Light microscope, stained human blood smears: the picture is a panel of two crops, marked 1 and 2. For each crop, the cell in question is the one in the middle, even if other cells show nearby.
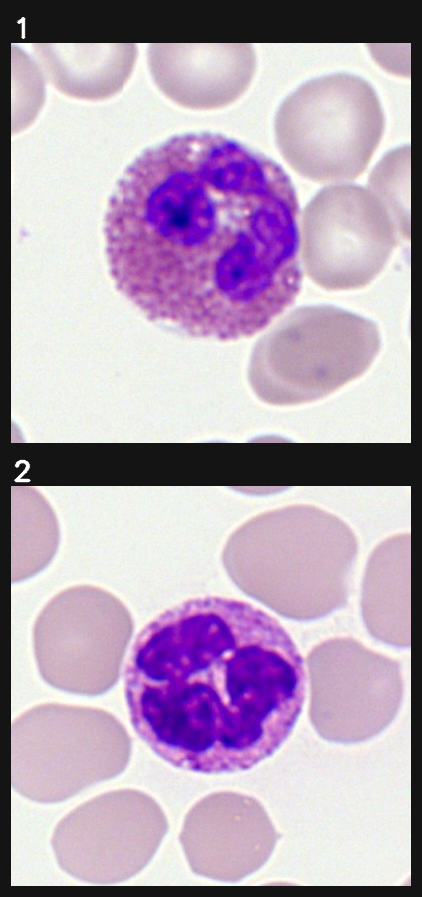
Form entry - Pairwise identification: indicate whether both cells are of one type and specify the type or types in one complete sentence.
No, an eosinophil is in crop 1, while a basophil is in crop 2.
